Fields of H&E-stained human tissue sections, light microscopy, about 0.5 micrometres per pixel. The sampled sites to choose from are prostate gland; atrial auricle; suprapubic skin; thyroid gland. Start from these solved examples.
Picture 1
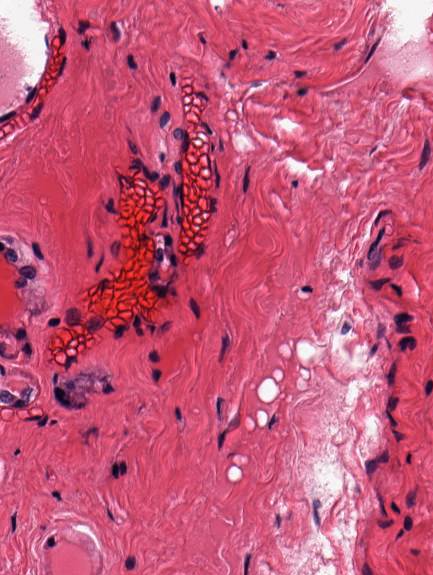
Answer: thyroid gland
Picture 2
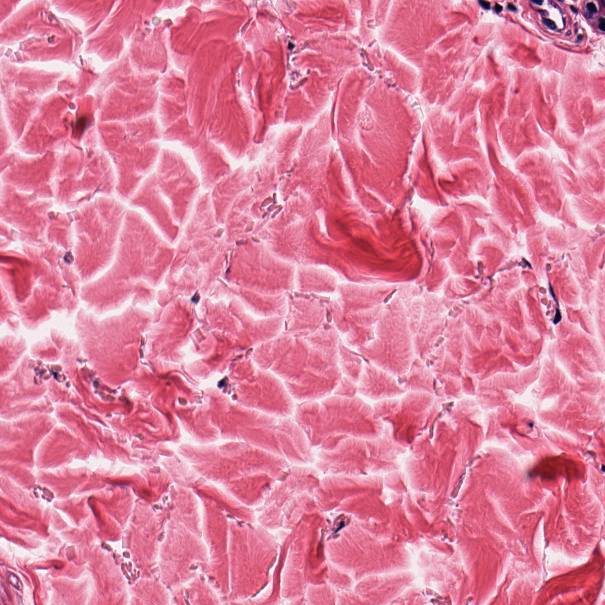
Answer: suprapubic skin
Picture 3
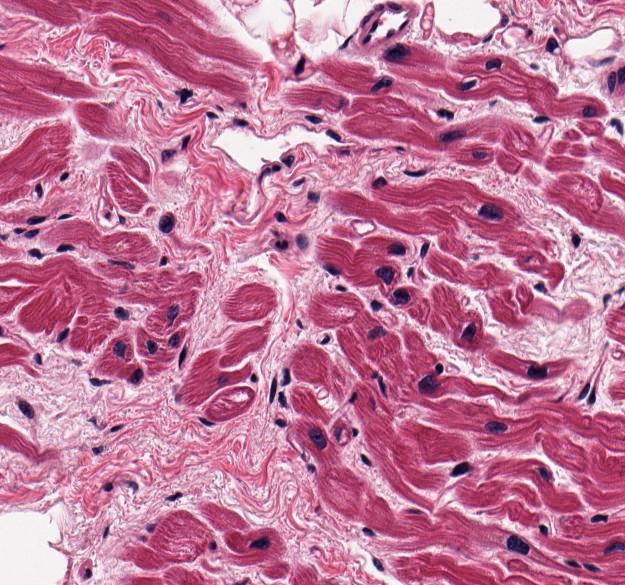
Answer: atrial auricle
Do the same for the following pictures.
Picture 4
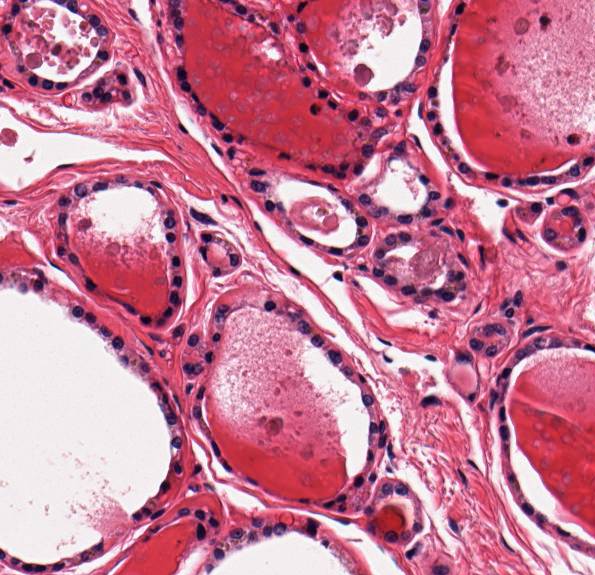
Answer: thyroid gland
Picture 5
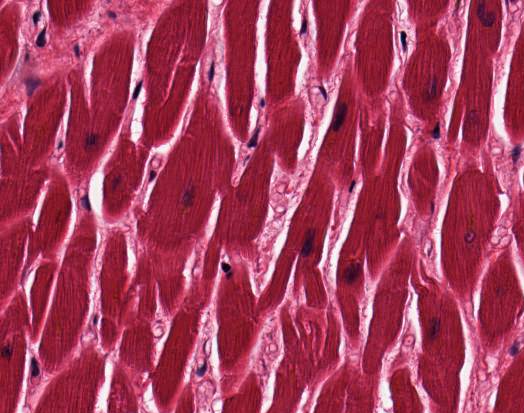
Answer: atrial auricle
